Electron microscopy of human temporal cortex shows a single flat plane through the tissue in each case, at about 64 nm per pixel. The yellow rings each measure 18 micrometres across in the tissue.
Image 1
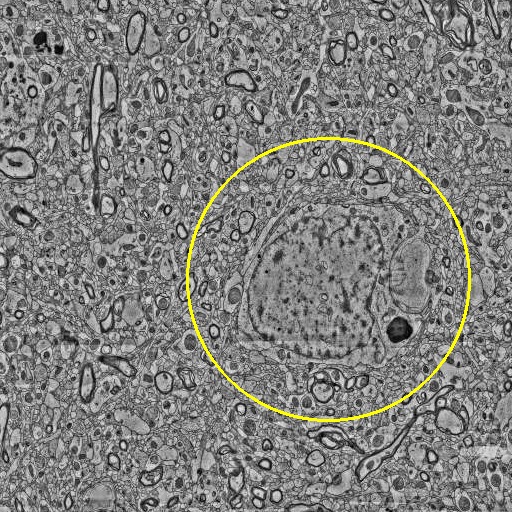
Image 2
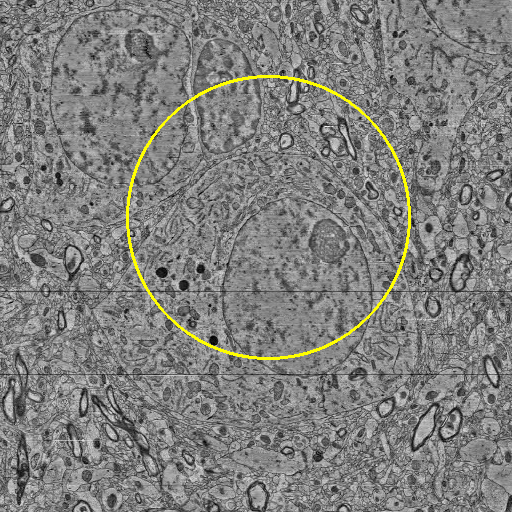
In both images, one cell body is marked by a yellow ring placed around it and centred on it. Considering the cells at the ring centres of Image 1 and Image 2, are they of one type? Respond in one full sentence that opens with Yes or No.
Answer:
Yes, a single type applies to the ring-centred cells of both Image 1 and Image 2.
